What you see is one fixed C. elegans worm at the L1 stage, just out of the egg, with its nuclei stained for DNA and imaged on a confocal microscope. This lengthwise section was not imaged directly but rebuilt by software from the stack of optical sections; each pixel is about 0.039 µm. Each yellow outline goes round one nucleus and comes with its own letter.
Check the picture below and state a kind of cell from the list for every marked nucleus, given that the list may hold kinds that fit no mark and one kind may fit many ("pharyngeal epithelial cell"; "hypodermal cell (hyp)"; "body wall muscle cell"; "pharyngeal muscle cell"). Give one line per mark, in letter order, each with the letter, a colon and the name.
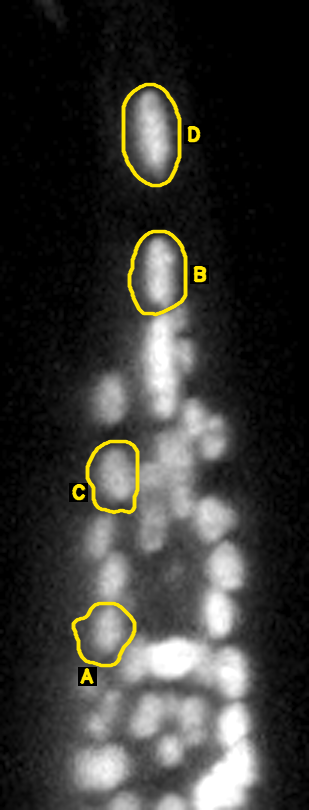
A: hypodermal cell (hyp)
B: pharyngeal epithelial cell
C: body wall muscle cell
D: hypodermal cell (hyp)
